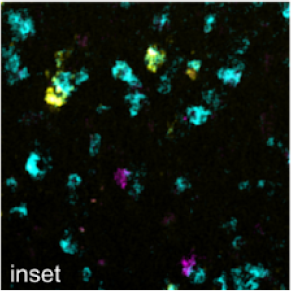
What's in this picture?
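Most cells appear cyan, as rounded clusters of dots scattered fairly evenly across a dark field. A few cell bodies are bright yellow, and a few smaller cells are magenta. The yellow and magenta cells are separate from one another: no cell carries both colours, and each lies apart among the many cyan cells.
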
